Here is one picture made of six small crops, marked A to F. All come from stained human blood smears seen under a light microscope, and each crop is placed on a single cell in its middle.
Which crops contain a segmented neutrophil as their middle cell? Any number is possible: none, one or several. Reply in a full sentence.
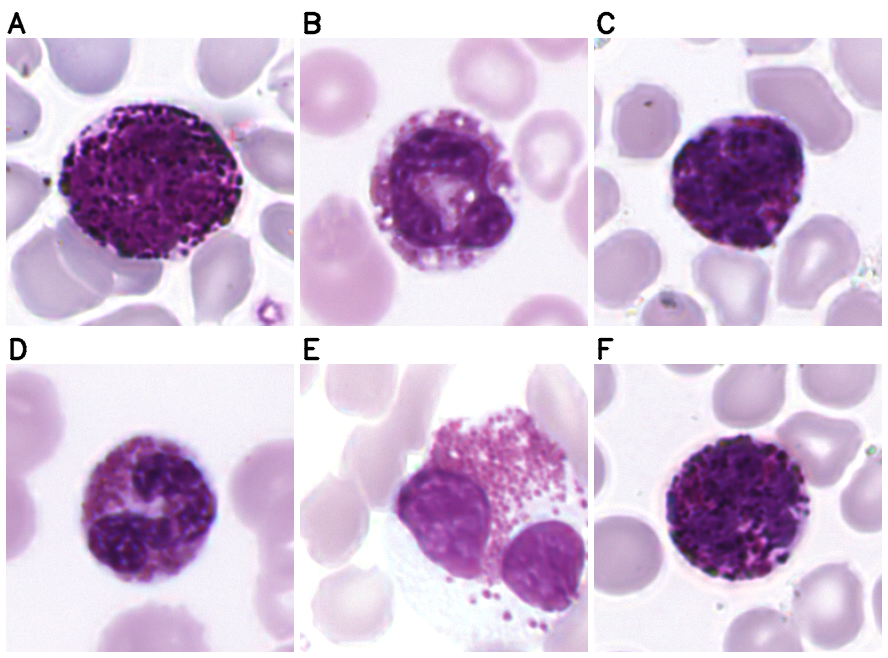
Among the crops, not a single one shows a segmented neutrophil.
